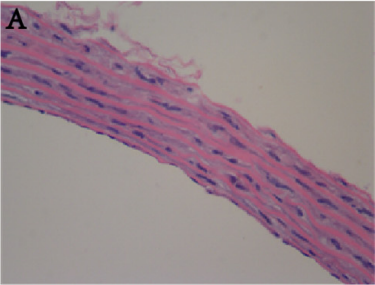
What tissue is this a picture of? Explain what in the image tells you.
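A band of wall with many parallel wavy pink lamellae. Elongated dark purple nuclei lie between the pink lamellae, aligned with them. The layers run in an orderly, tightly packed band.
Hence: aortic.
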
